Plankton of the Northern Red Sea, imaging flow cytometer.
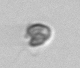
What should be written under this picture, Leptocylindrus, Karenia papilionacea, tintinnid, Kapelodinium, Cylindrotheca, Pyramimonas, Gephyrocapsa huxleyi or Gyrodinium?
Pyramimonas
